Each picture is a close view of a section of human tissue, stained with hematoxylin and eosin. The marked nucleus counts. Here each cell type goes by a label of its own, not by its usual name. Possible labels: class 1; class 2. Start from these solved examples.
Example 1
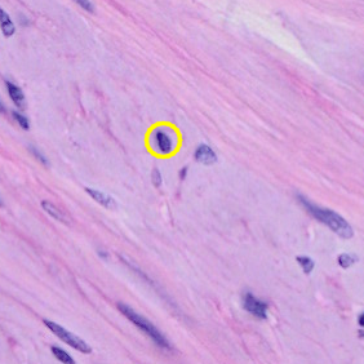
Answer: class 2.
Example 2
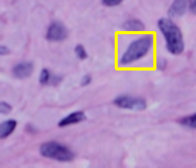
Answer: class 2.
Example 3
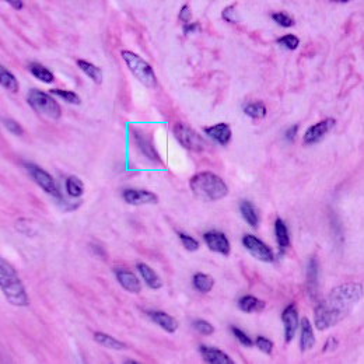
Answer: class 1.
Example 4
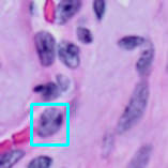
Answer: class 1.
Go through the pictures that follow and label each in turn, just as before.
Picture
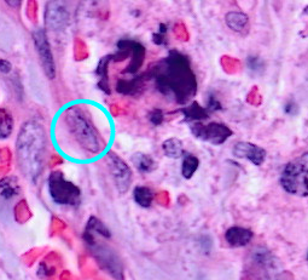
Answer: class 1.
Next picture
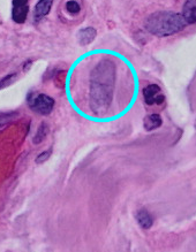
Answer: class 2.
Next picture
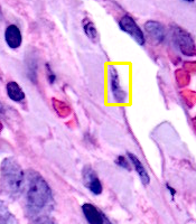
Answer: class 2.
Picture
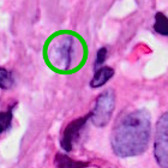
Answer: class 2.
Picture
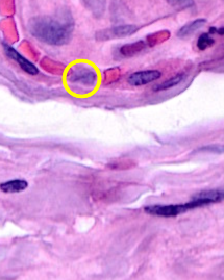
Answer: class 1.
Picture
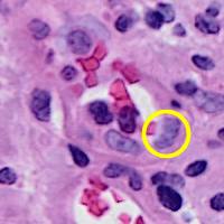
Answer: class 1.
